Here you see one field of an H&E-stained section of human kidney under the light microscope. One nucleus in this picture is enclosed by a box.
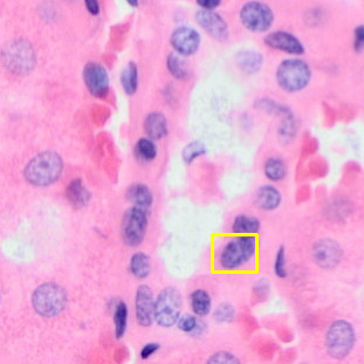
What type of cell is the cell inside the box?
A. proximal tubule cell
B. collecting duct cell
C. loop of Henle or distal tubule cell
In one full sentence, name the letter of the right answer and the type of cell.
The proper choice here is B: the cell inside the box is a collecting duct cell.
